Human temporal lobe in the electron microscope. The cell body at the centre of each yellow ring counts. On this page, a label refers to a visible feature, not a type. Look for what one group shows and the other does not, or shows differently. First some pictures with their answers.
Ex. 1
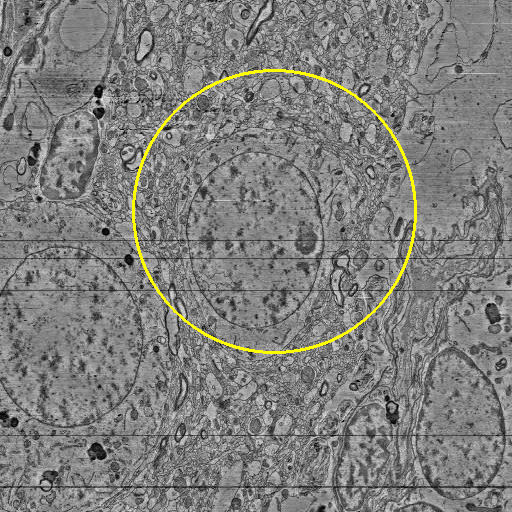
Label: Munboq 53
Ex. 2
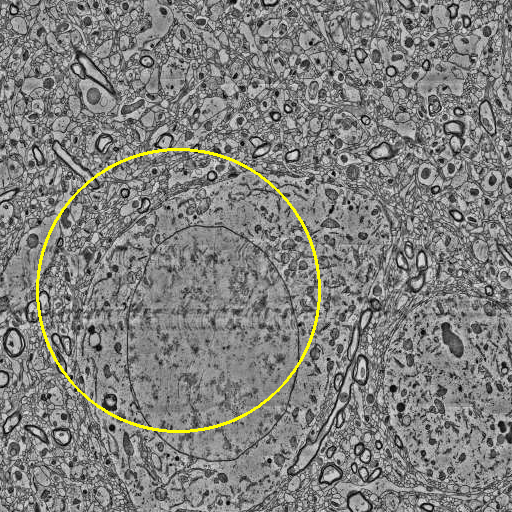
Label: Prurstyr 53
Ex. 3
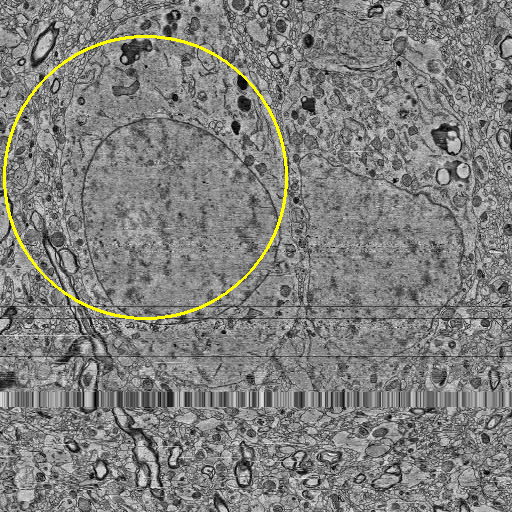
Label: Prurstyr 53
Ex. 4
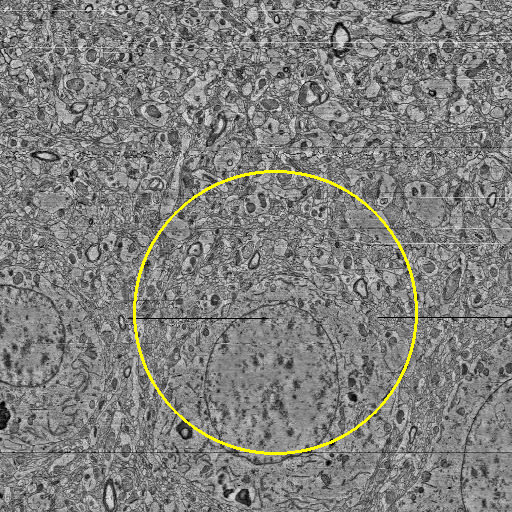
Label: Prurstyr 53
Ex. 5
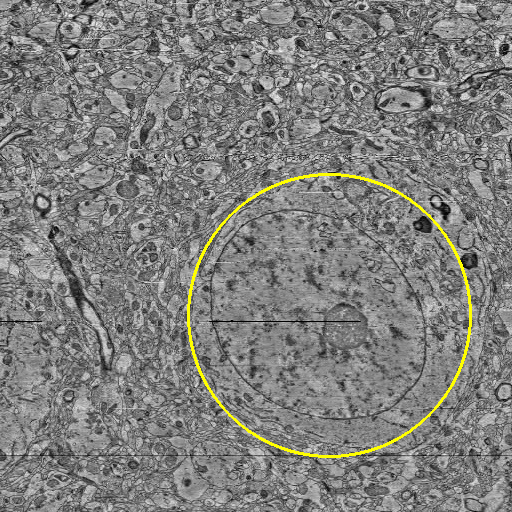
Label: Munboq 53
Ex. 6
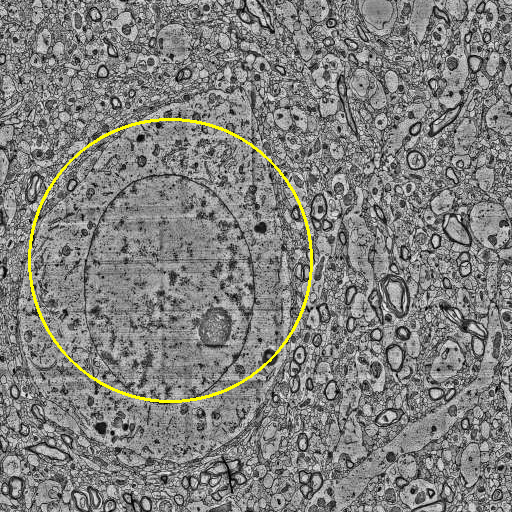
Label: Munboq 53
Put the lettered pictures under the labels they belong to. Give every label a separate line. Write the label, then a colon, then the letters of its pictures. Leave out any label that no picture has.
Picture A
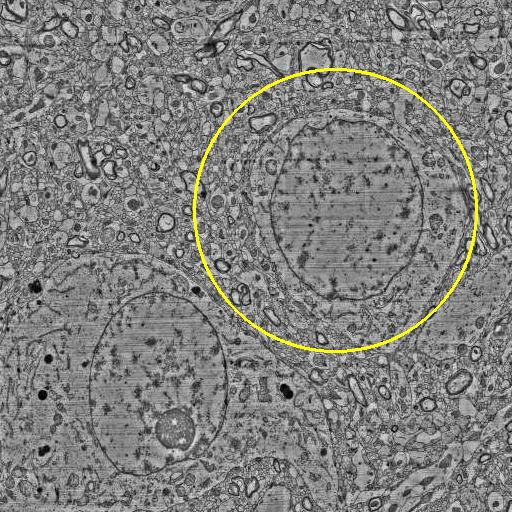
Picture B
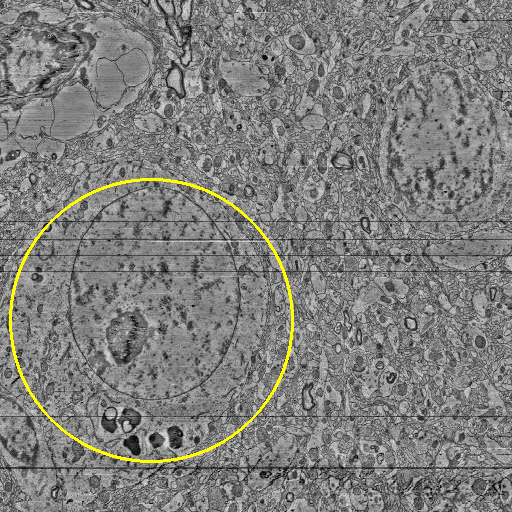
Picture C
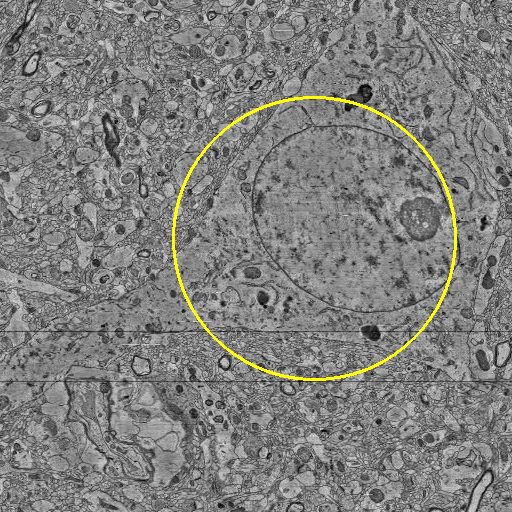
Munboq 53: B, C
Prurstyr 53: A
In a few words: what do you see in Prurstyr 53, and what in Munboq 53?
Prurstyr 53, no nucleolus seen; Munboq 53, nucleolus seen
